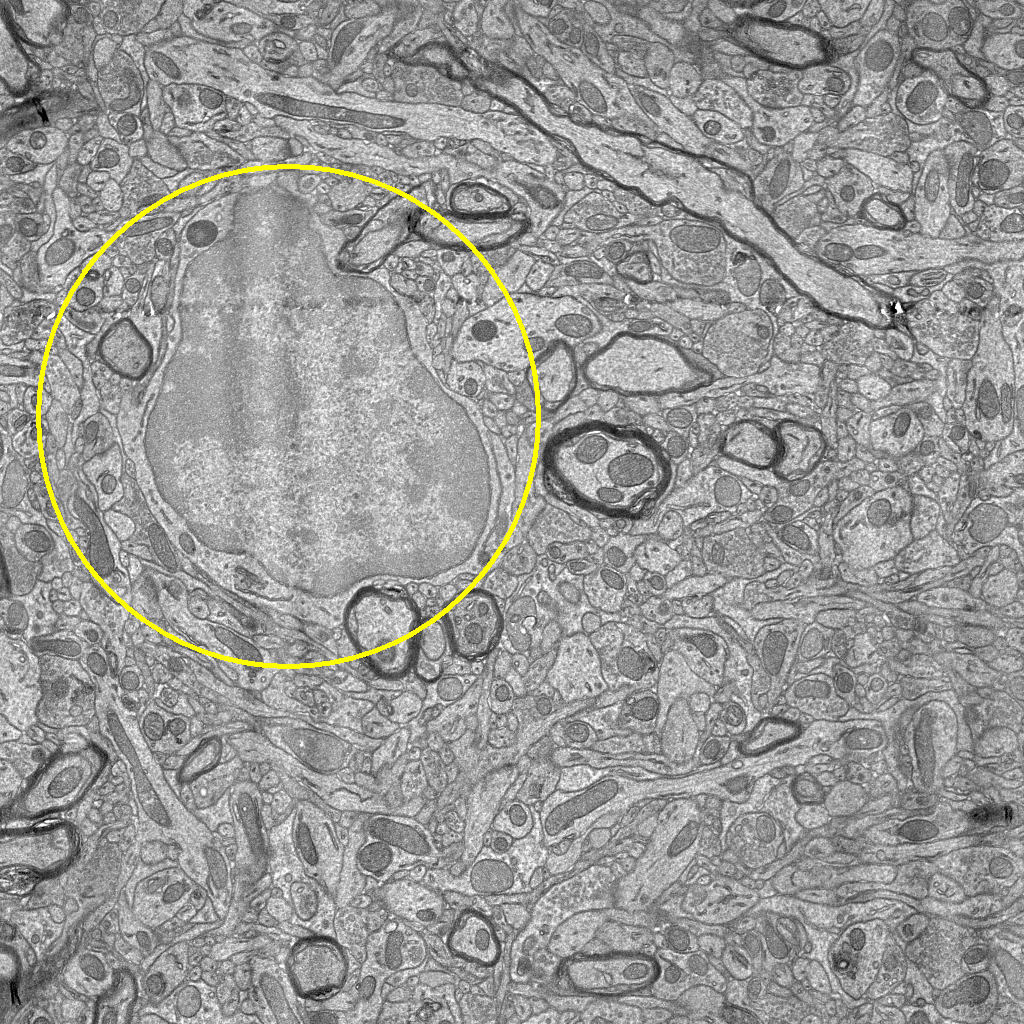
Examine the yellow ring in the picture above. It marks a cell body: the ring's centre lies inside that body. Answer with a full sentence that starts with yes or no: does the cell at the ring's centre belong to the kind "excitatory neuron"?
No, the cell whose body contains the ring's centre in the image is a different kind of cell.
